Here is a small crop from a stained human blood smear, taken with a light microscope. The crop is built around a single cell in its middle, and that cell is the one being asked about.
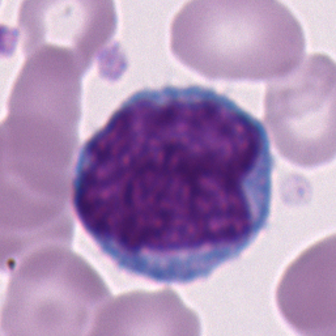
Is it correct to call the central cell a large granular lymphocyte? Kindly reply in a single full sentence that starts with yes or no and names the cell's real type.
No, the cell in the centre of the crop is a monocyte as opposed to a large granular lymphocyte.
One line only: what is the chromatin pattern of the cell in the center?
If you check the nucleus, you will find the chromatin coarsely clumped.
